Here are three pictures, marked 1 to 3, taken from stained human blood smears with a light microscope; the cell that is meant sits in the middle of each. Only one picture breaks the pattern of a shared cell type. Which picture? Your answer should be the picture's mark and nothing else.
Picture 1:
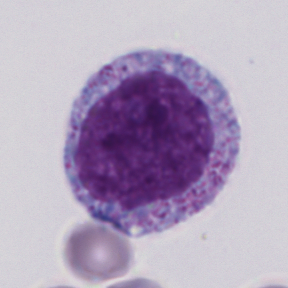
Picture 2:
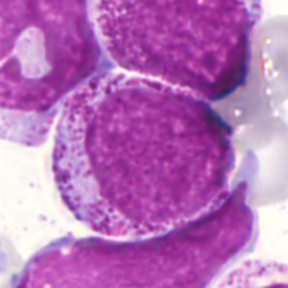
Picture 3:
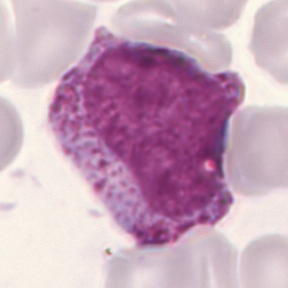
2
